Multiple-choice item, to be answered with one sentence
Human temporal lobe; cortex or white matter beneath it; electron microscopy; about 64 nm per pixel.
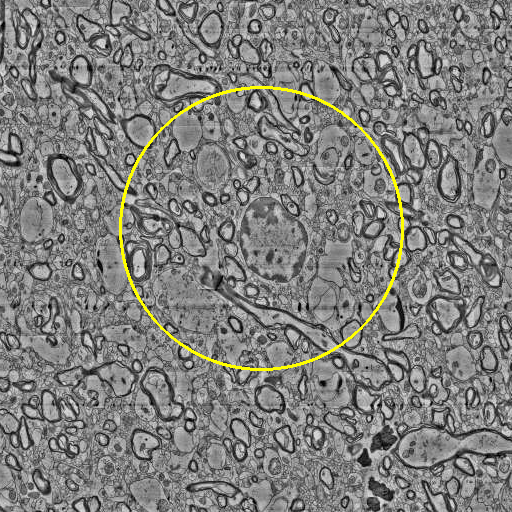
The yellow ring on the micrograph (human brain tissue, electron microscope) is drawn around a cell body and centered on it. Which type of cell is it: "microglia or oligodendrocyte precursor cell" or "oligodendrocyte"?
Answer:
The ring is centered on a microglial cell or oligodendrocyte precursor cell.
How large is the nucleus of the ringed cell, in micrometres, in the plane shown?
In this plane the nucleus is about 5 micrometres by 4.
